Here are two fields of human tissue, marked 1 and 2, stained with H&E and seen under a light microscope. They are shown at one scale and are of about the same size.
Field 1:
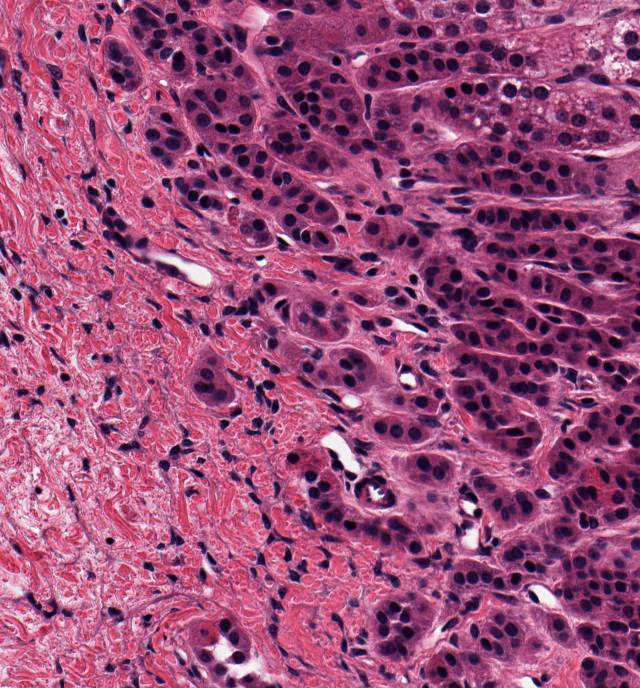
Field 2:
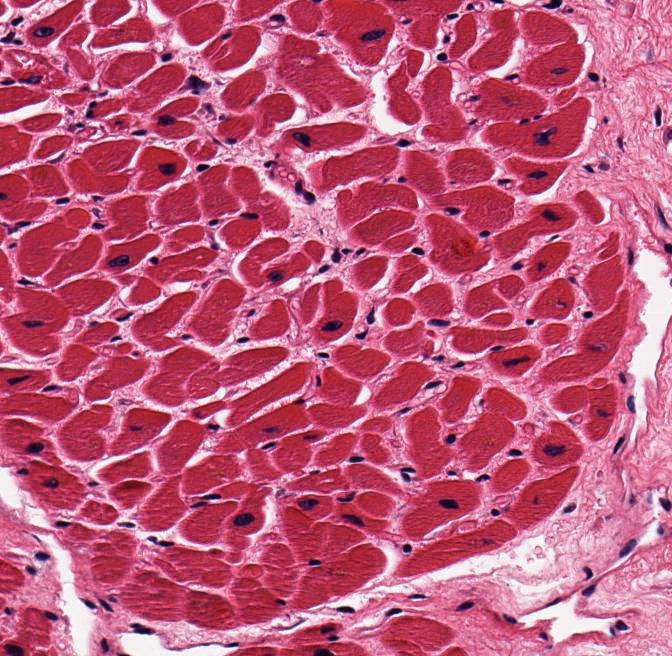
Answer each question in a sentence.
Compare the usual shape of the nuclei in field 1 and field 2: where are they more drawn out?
It is field 2 whose nuclei are the more elongated.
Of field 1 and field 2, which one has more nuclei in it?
There are more nuclei in field 1.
